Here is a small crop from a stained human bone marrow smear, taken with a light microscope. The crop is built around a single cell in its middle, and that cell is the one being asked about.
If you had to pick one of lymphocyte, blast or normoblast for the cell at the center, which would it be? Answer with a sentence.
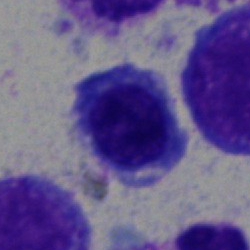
As for the central cell, it is a normoblast.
